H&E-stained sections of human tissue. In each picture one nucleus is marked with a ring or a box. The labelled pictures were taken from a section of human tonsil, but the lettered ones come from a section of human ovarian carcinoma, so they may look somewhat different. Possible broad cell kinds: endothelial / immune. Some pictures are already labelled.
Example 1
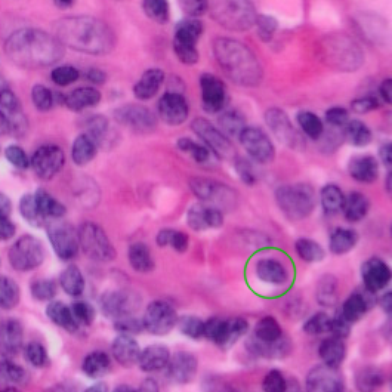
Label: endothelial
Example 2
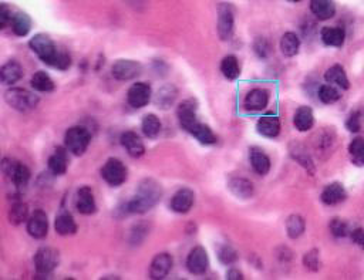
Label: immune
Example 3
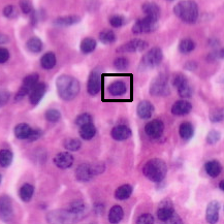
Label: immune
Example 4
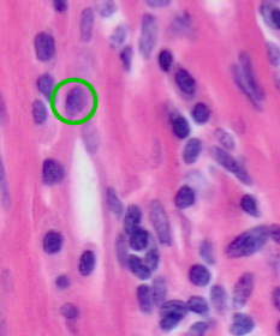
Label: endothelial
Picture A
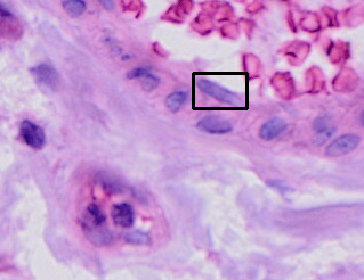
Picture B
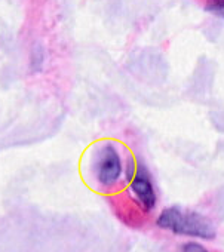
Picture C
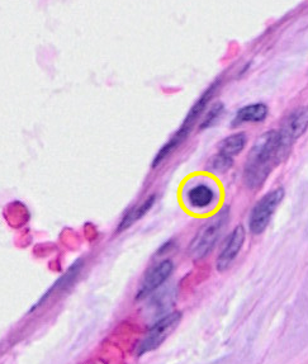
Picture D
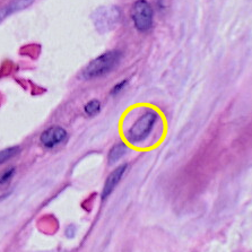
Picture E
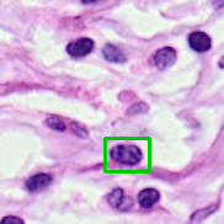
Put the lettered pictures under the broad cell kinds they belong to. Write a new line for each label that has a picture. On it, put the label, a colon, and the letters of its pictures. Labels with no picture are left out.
endothelial: A, B, D
immune: C, E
